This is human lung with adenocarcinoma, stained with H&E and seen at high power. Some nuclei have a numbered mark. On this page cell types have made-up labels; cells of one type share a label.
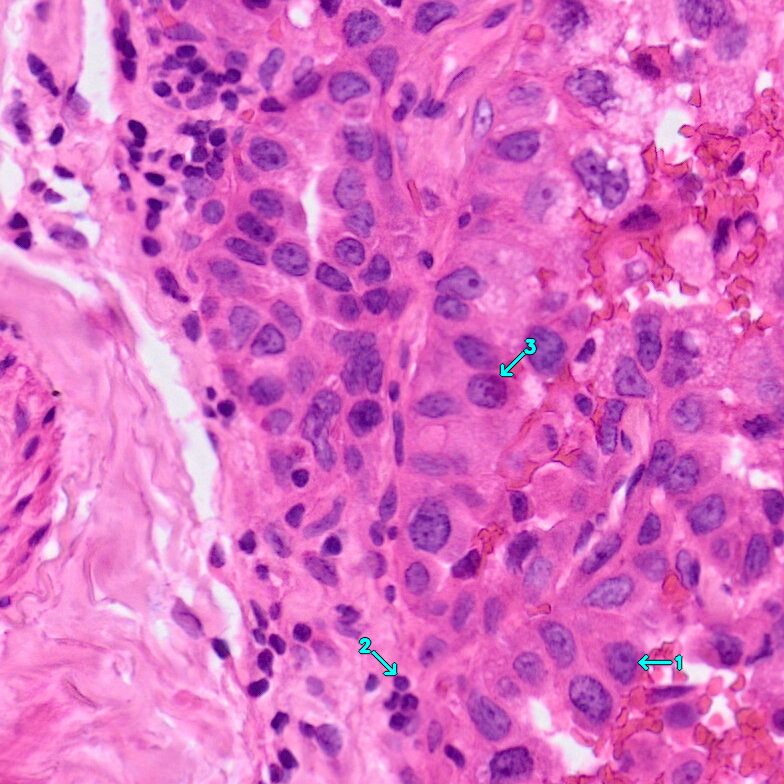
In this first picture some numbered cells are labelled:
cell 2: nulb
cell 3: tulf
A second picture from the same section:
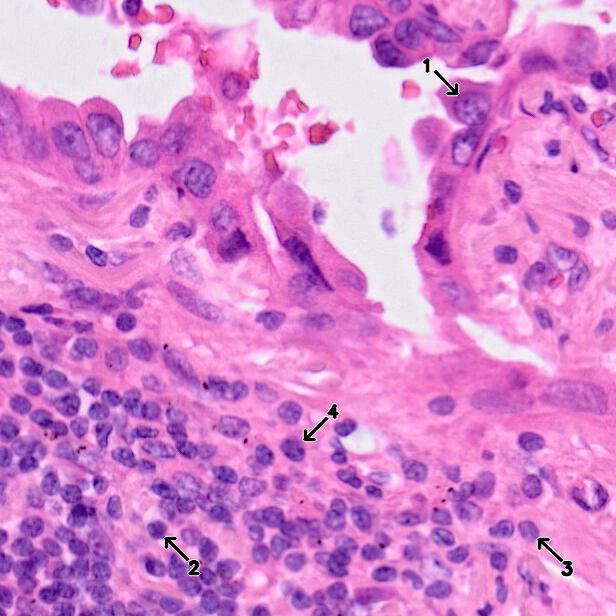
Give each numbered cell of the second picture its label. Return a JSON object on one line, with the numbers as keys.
{"1": "tulf", "2": "nulb", "3": "nulb", "4": "nulb"}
